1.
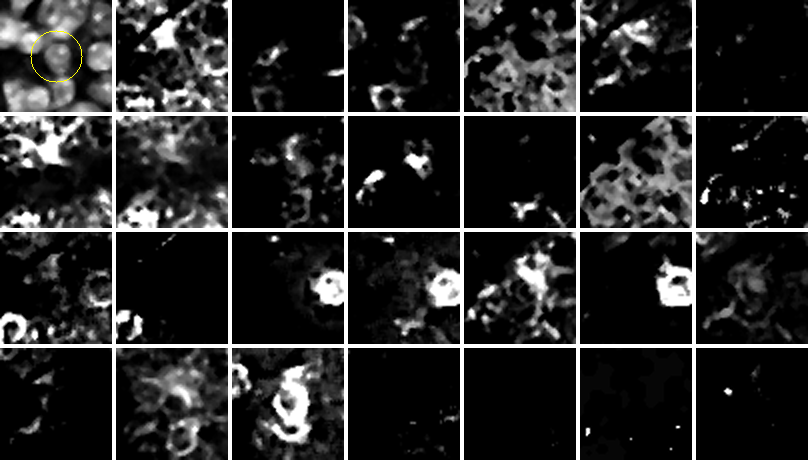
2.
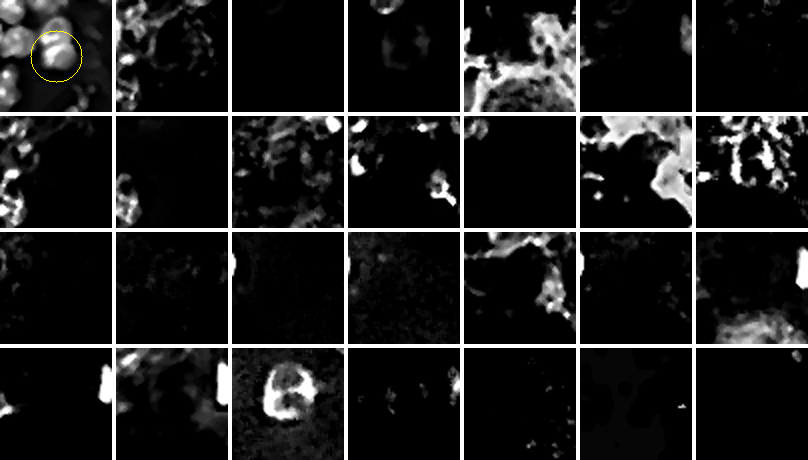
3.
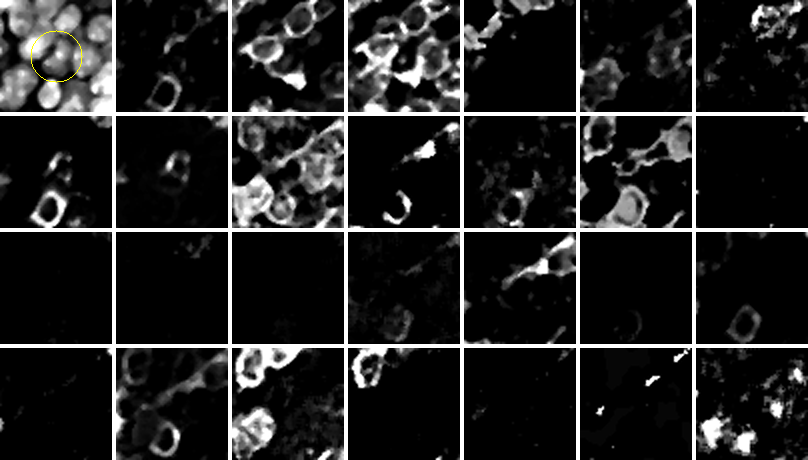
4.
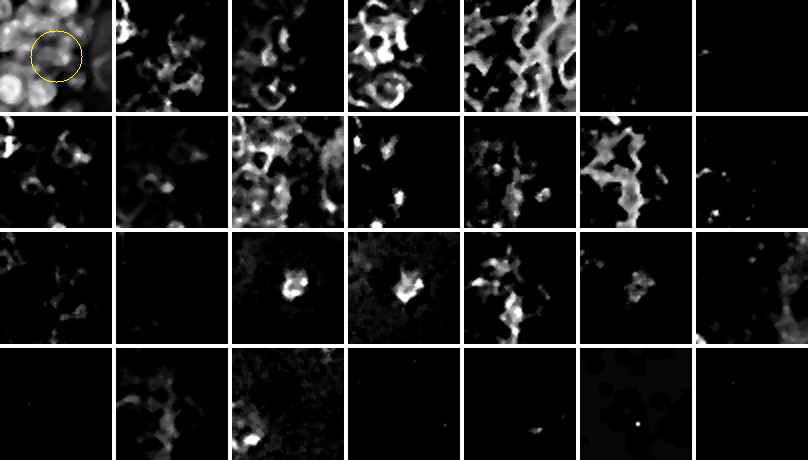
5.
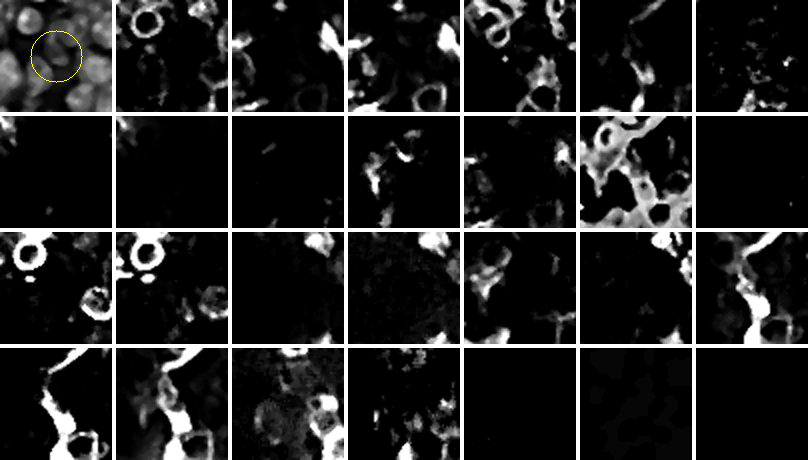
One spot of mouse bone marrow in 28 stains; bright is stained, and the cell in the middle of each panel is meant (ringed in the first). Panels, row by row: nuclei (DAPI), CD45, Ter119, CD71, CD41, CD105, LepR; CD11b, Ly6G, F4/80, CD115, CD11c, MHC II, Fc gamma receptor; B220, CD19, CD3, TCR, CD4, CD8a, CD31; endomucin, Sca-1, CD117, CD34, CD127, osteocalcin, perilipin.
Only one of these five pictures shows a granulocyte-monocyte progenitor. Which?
Picture 2.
